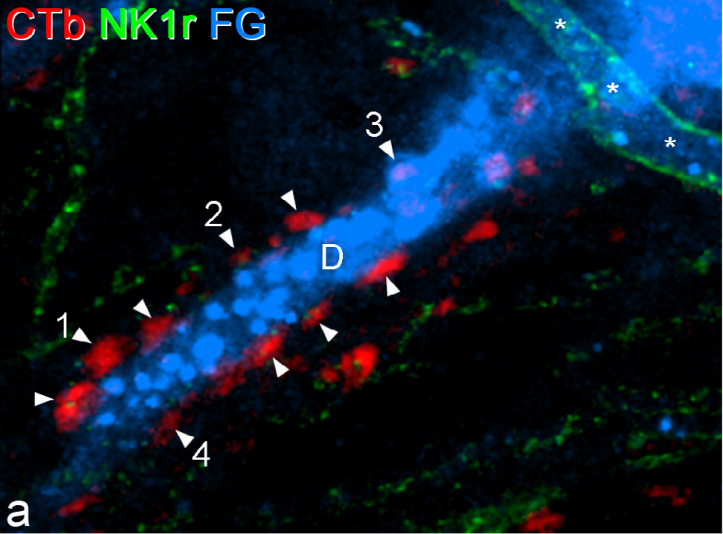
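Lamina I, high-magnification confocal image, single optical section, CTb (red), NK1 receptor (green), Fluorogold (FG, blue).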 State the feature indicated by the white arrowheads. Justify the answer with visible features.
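The arrowheads point to small red puncta. The red puncta lie along the edge of a long blue process. The answer: boutons.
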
